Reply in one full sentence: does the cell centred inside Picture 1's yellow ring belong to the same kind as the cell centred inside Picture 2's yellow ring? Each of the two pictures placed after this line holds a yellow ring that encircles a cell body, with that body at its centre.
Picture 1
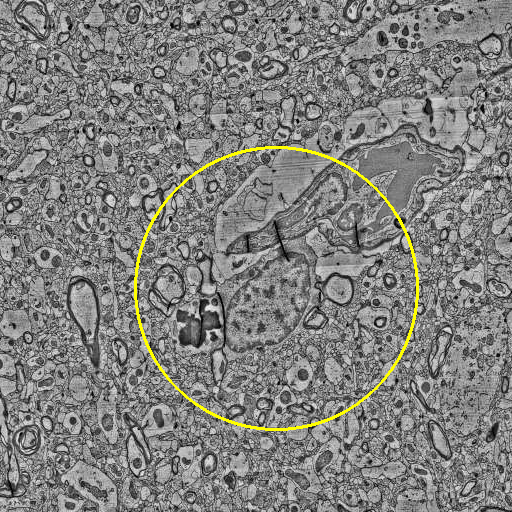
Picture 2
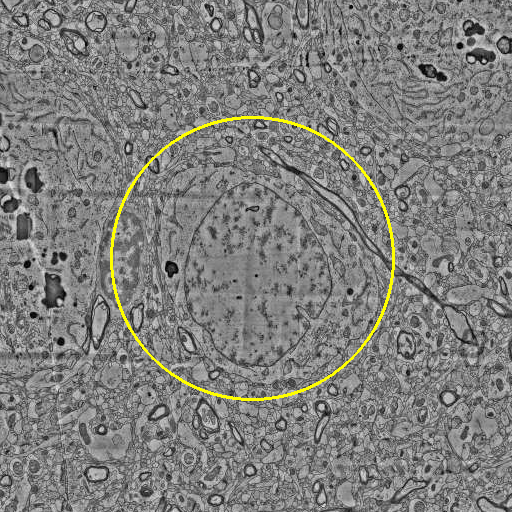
No, the ring-centred cells in Picture 1 and Picture 2 are of two separate kinds.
